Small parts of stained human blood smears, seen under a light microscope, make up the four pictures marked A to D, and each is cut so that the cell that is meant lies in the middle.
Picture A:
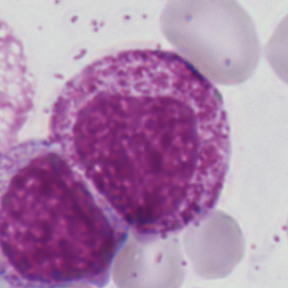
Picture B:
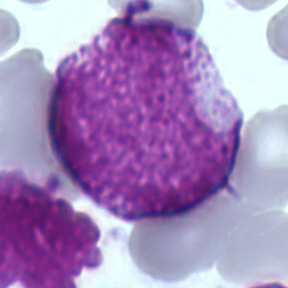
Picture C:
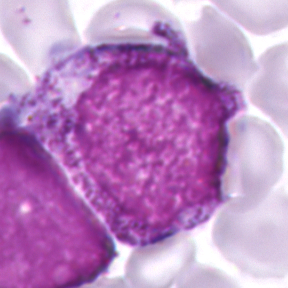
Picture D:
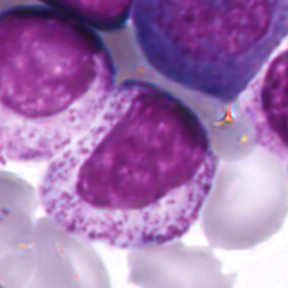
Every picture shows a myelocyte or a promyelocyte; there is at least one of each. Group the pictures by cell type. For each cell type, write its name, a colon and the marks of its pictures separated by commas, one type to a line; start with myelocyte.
myelocyte: A, C, D
promyelocyte: B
